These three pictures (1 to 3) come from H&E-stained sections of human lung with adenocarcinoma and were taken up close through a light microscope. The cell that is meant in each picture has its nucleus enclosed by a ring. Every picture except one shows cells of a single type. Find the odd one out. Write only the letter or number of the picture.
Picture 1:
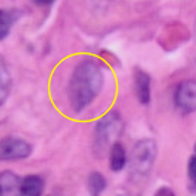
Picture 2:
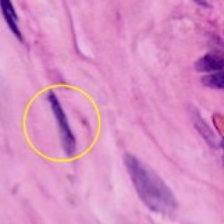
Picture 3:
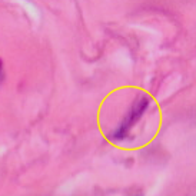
1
